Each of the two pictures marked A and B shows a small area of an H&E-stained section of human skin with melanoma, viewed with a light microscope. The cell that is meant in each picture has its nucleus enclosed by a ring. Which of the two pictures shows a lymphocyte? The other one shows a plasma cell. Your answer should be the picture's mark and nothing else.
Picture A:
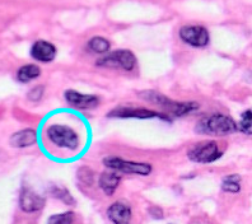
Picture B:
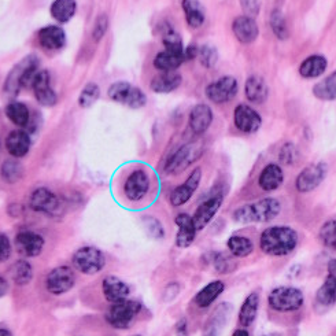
A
